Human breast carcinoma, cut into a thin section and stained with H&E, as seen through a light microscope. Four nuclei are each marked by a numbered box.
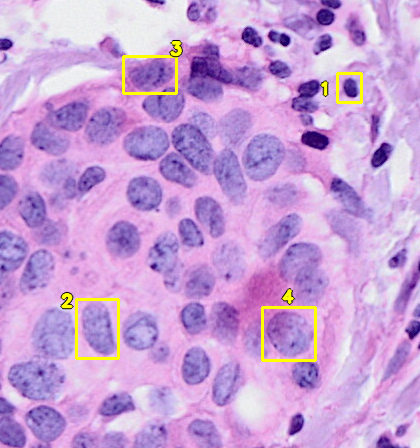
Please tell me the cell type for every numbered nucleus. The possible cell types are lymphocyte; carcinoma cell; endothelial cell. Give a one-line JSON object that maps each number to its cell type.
{"1": "lymphocyte", "2": "carcinoma cell", "3": "carcinoma cell", "4": "carcinoma cell"}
